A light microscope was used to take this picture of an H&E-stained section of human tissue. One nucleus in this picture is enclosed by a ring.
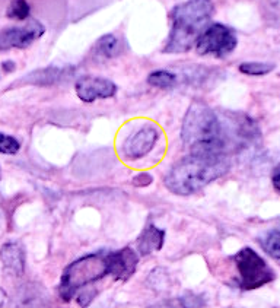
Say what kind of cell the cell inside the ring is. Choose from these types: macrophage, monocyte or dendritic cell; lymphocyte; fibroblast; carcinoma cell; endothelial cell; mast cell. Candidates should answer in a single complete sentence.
Within this tissue, the cell inside the ring is a macrophage, monocyte or dendritic cell.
